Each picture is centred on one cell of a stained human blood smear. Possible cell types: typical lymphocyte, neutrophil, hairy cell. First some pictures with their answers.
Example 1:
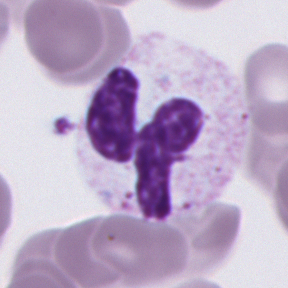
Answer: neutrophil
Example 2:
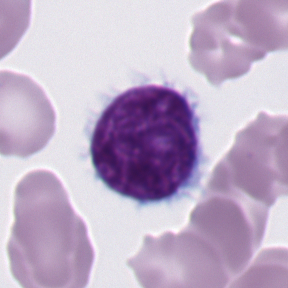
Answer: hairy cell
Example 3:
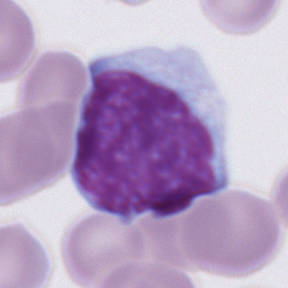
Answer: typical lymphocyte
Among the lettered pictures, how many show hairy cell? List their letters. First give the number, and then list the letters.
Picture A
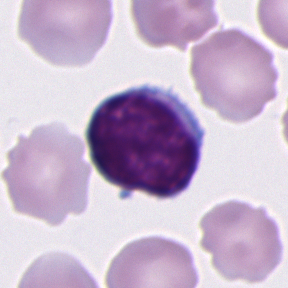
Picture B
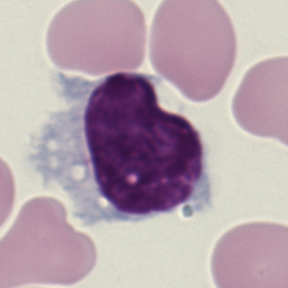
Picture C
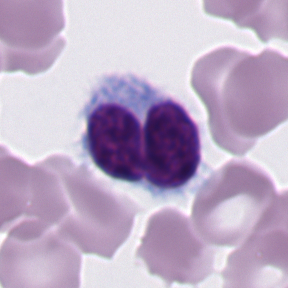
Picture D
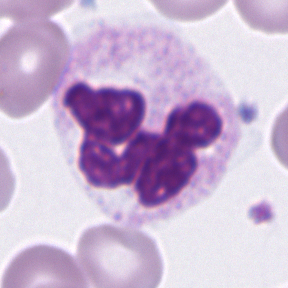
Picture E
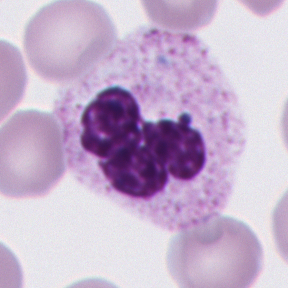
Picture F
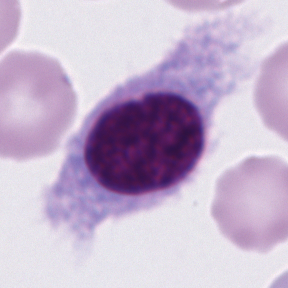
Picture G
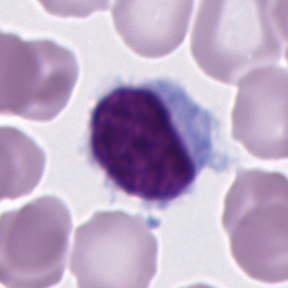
4, namely B, C, F, G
